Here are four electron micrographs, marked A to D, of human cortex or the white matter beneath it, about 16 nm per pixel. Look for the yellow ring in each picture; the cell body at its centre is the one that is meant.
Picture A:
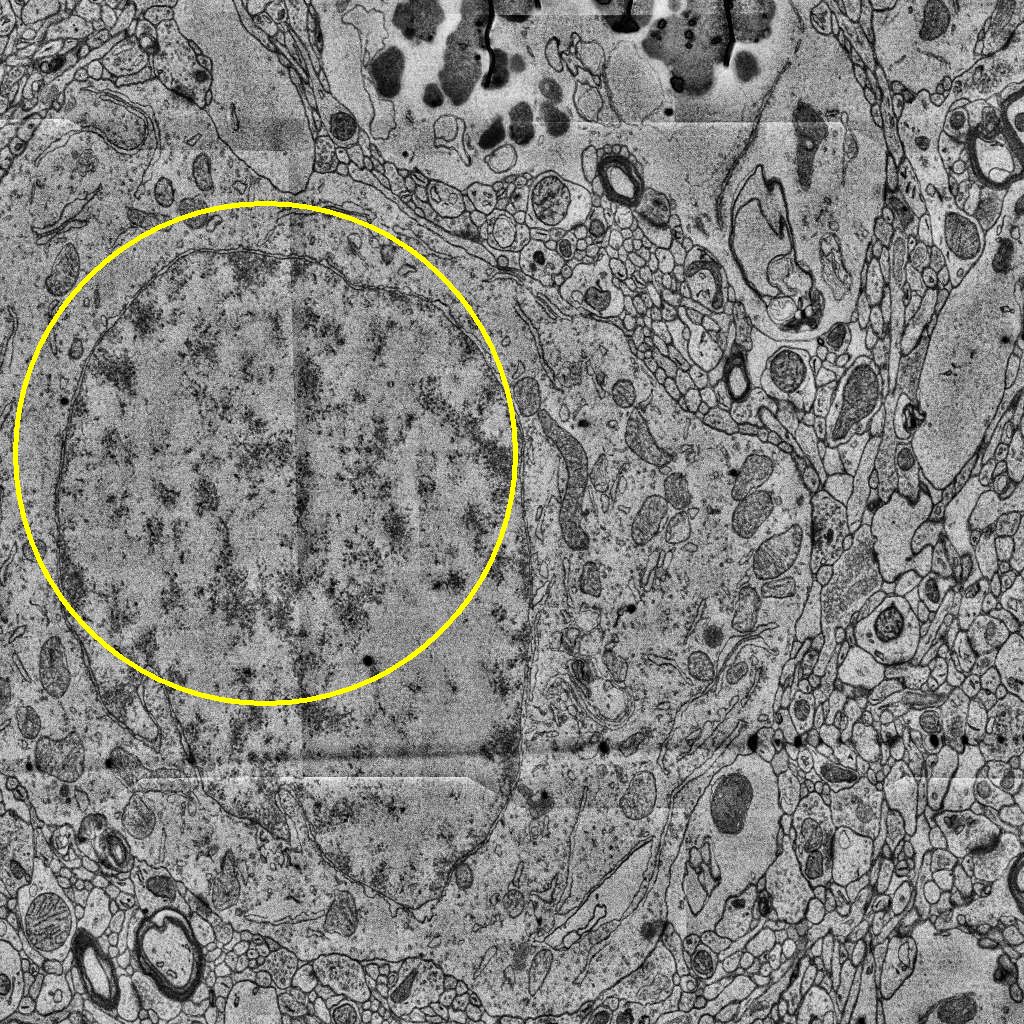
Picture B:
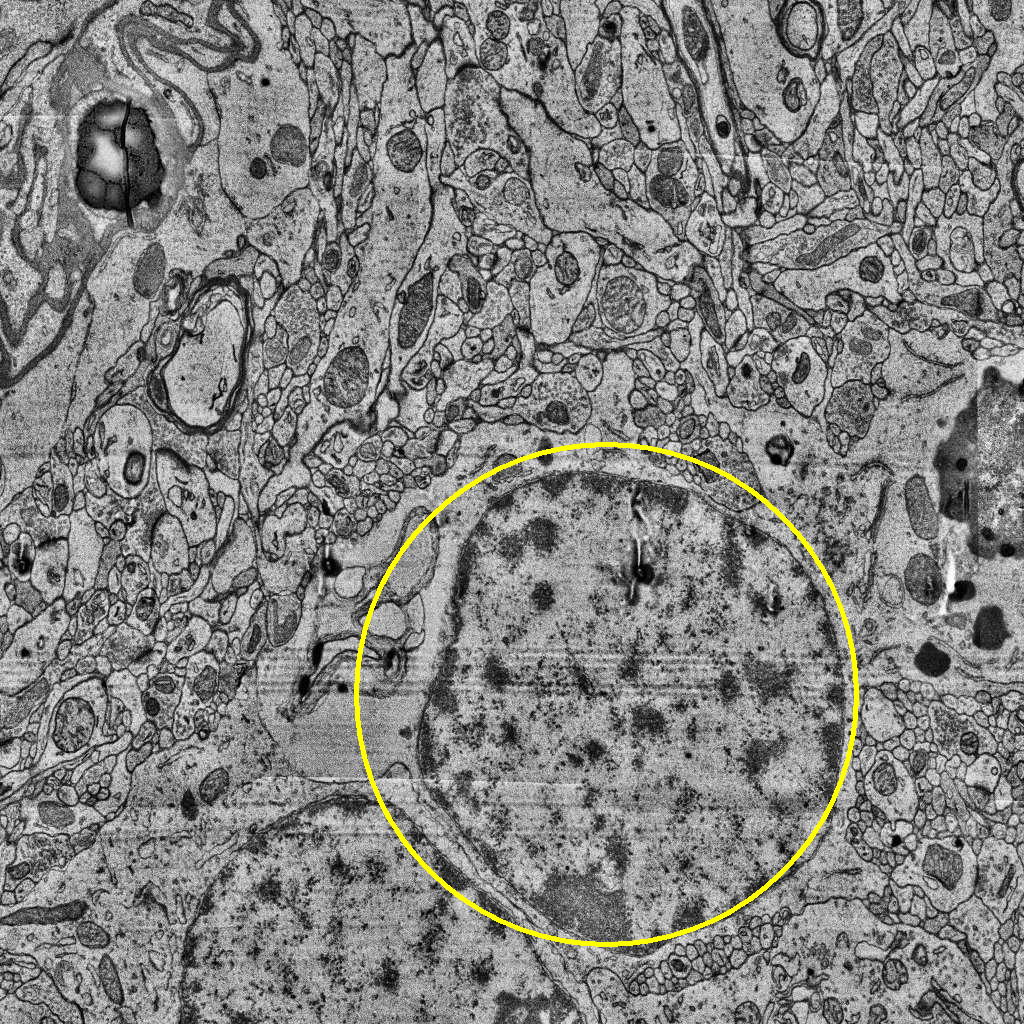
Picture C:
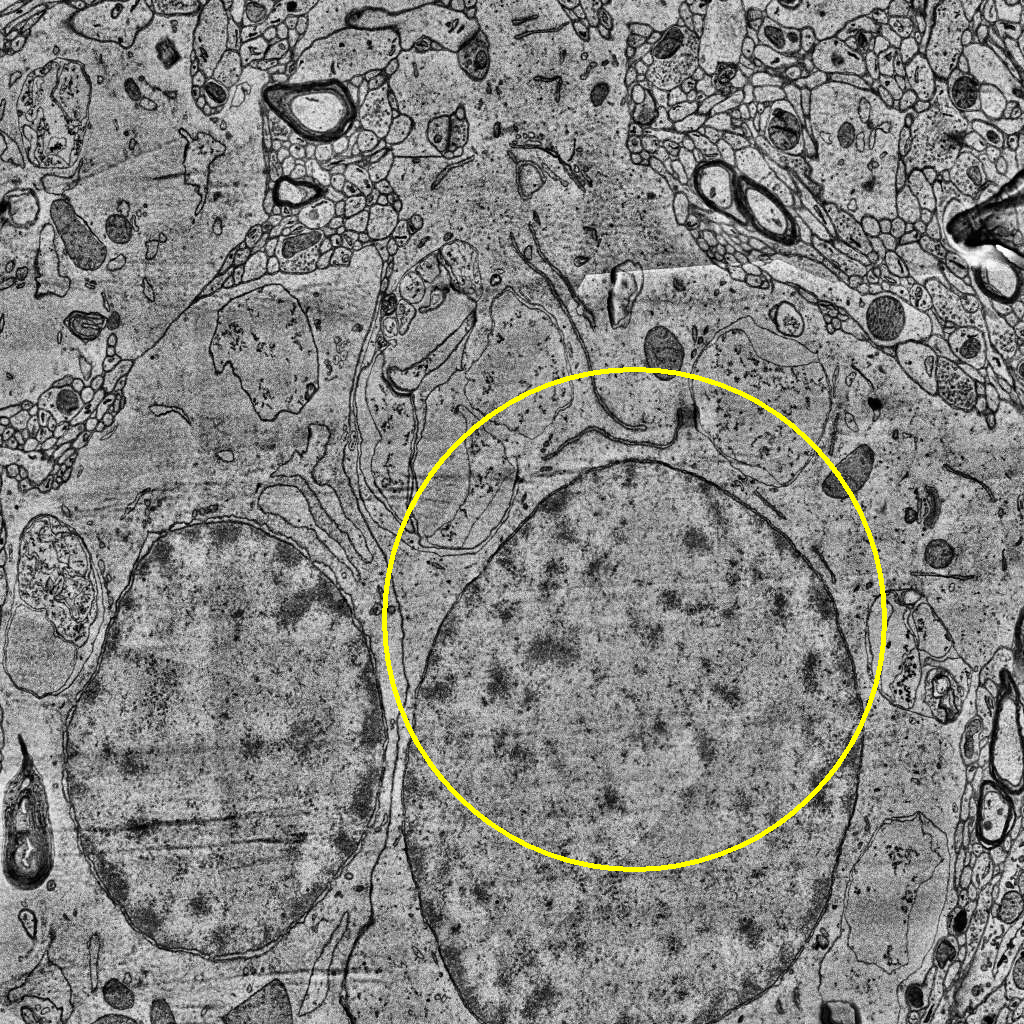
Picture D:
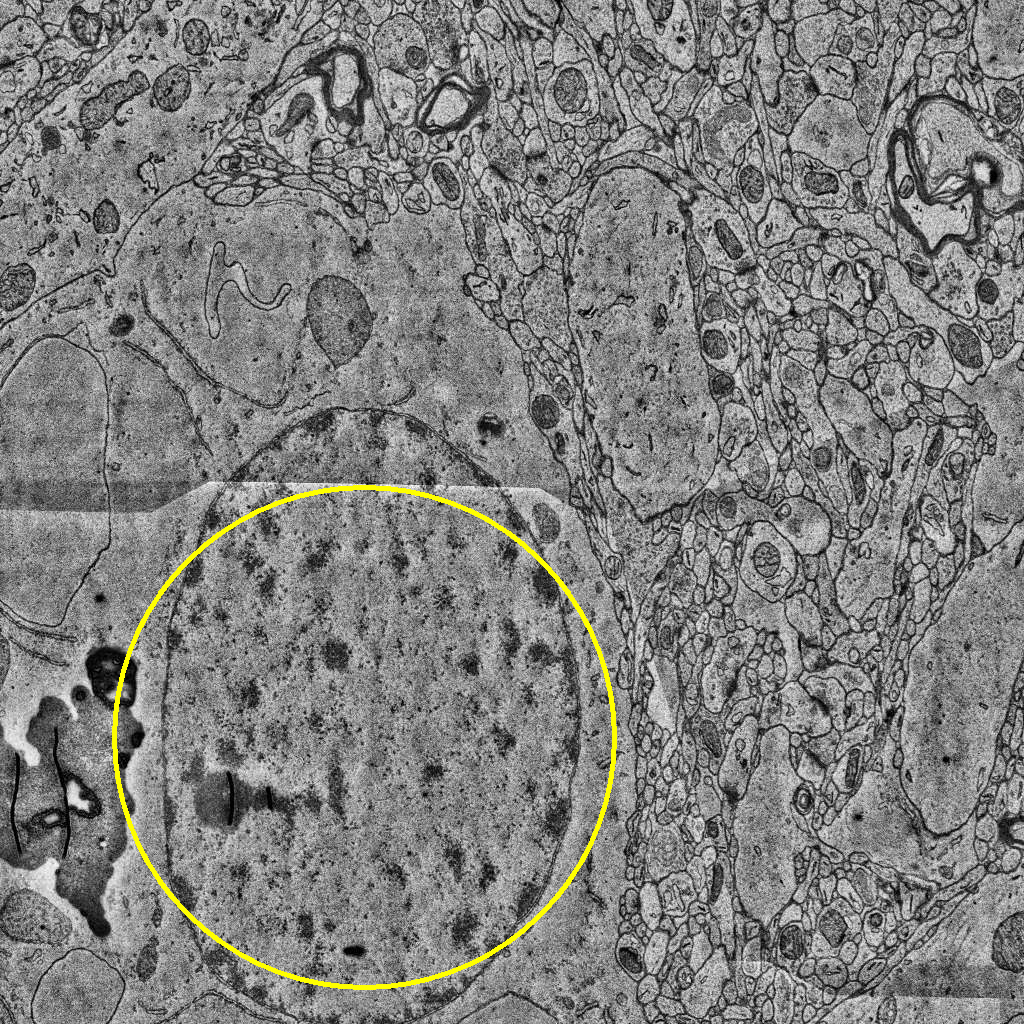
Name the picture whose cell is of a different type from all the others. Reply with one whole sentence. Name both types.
Unlike the rest, which show astrocytes, picture A shows an interneuron.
